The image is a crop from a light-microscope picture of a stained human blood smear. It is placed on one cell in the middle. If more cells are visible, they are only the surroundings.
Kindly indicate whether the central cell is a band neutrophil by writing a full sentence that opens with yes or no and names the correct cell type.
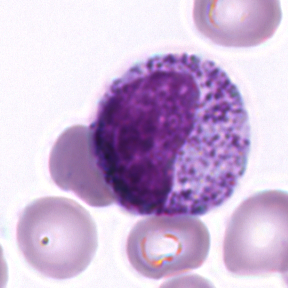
No, the central cell here is a metamyelocyte; calling it a band neutrophil is not right.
